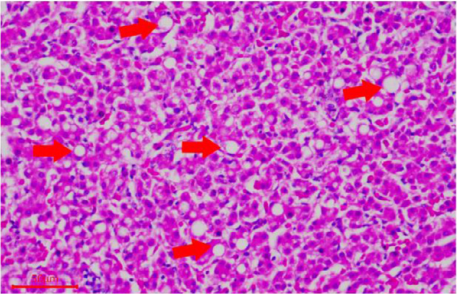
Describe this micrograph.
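Liver section with hepatocytes arranged in cords, stained pink to purple with dark blue-purple nuclei. Scattered throughout are numerous round, sharply bordered clear vacuoles of varying size lying within the cords. The vacuoles are empty and unstained, contrasting with the surrounding pink cytoplasm. Narrow pale sinusoidal spaces separate the cords. The vacuolation is widespread across the field.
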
